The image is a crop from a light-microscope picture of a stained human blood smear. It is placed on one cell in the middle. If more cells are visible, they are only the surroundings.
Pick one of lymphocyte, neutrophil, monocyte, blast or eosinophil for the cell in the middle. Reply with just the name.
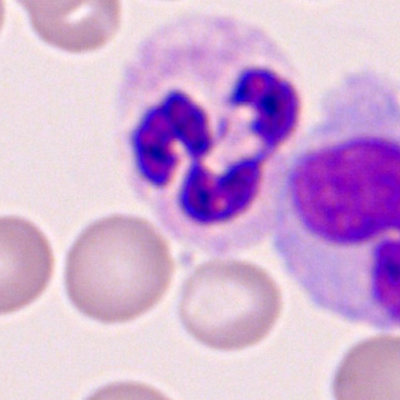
neutrophil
